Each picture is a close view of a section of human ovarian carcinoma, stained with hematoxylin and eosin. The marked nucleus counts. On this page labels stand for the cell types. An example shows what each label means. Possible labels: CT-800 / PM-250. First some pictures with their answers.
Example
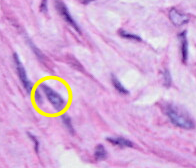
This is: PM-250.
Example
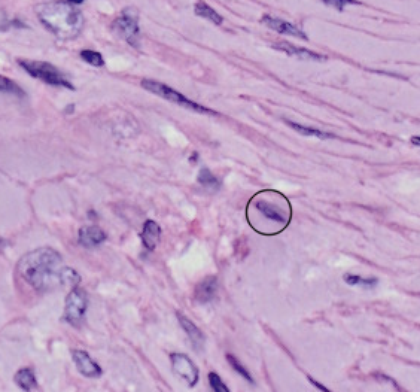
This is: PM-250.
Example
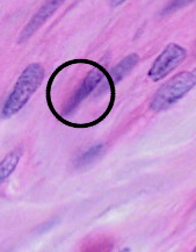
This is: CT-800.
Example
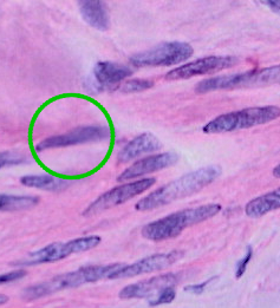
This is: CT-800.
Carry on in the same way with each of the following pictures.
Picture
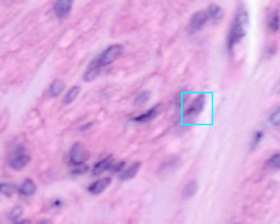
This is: CT-800.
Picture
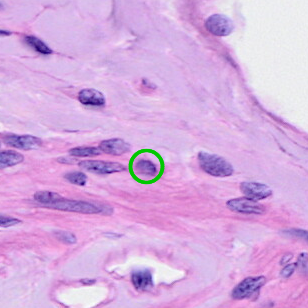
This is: CT-800.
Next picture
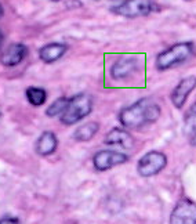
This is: PM-250.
